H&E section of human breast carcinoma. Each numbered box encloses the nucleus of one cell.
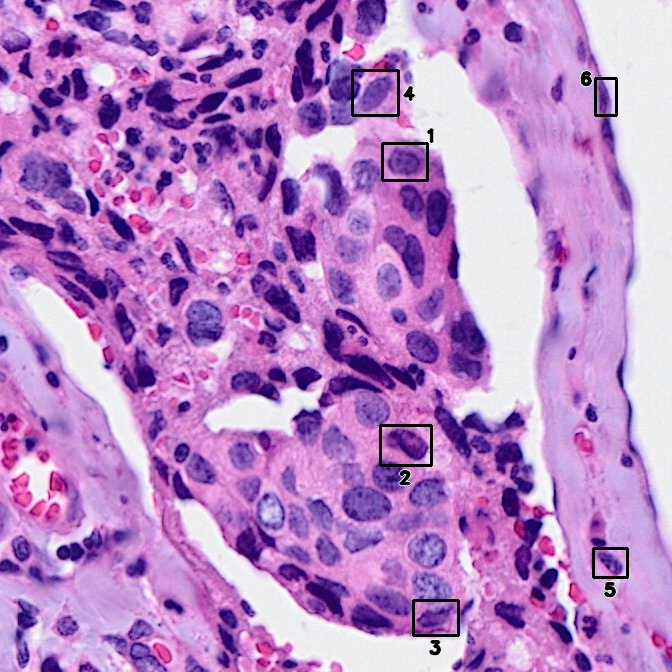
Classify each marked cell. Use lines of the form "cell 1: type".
cell 1: carcinoma cell
cell 2: carcinoma cell
cell 3: carcinoma cell
cell 4: carcinoma cell
cell 5: mast cell
cell 6: fibroblast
